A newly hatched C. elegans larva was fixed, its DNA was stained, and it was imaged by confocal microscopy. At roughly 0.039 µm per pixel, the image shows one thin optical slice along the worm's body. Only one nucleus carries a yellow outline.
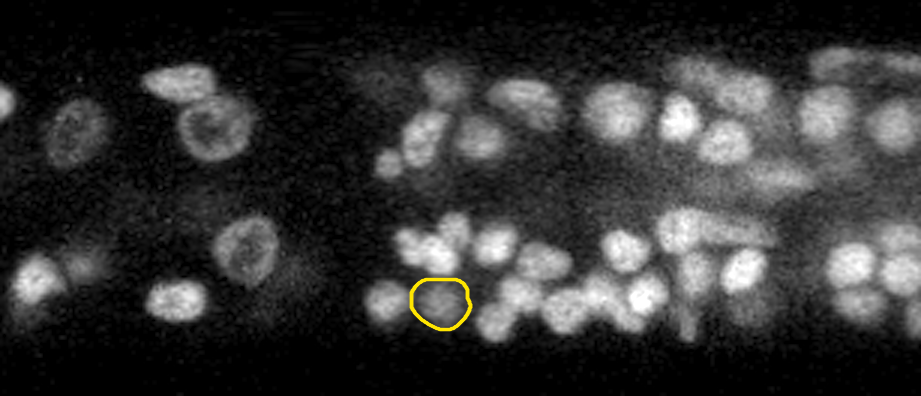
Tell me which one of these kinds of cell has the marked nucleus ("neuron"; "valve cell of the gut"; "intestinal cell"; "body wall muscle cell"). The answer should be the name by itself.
neuron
